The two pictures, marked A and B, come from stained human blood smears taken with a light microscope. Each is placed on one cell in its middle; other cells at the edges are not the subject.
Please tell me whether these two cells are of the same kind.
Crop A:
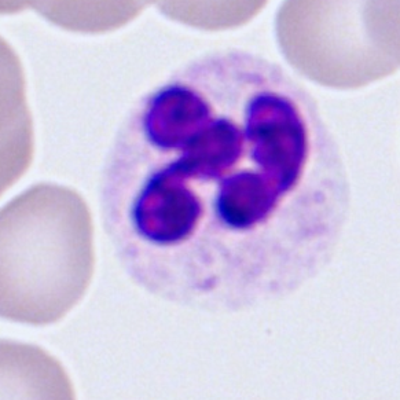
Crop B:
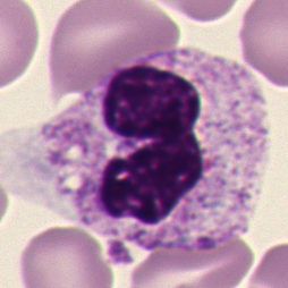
yes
